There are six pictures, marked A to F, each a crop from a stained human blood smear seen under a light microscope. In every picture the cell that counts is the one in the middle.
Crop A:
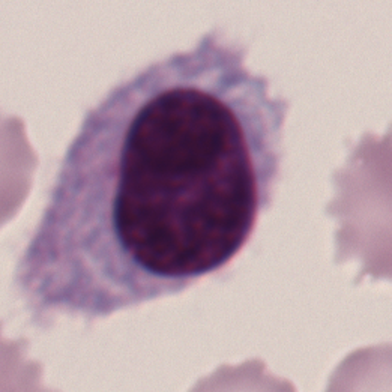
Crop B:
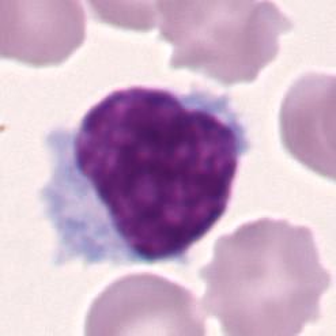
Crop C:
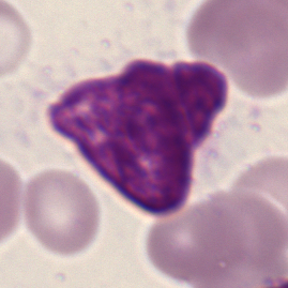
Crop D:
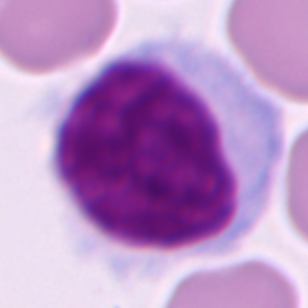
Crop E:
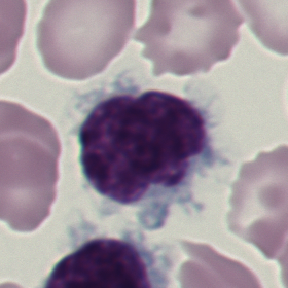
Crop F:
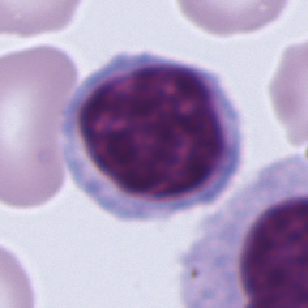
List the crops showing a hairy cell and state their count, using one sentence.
It is crops A, B, D and E, four in all, that show hairy cells.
